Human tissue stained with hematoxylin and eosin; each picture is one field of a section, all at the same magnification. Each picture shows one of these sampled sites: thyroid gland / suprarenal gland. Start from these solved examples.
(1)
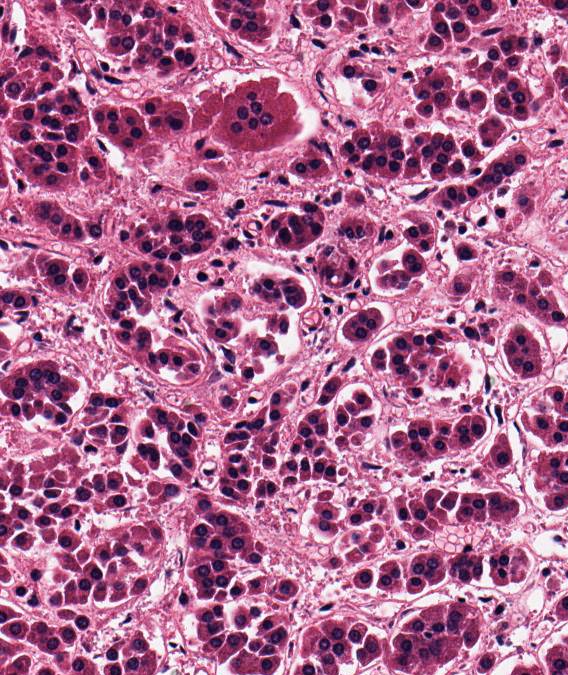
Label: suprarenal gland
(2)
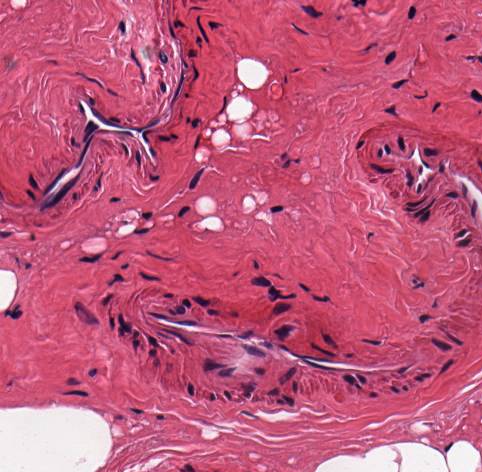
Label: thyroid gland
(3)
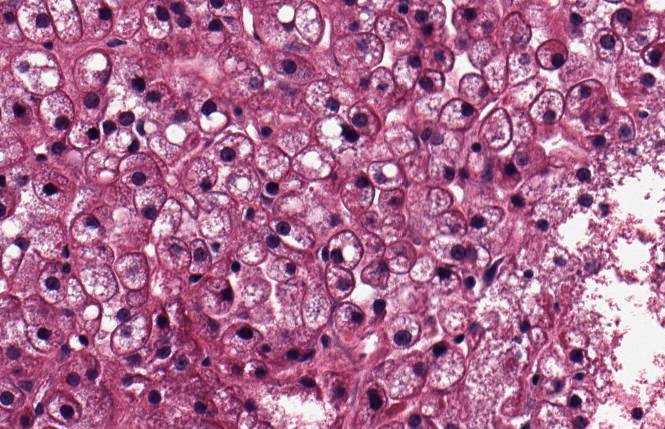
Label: suprarenal gland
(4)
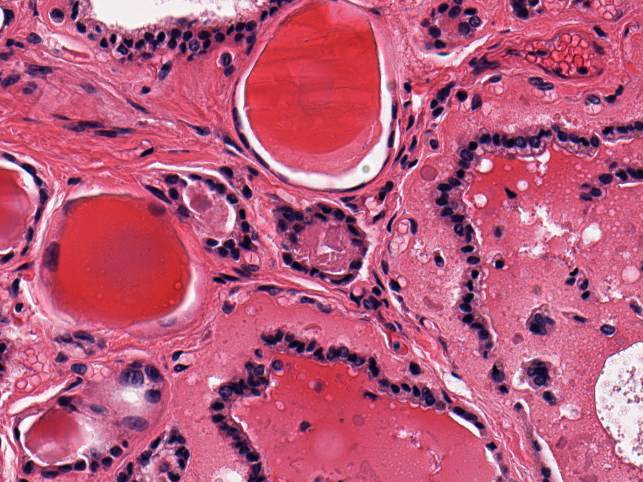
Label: thyroid gland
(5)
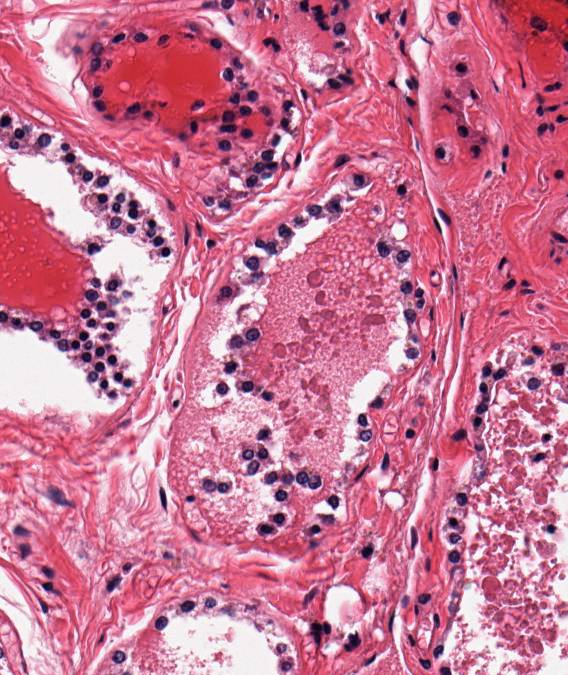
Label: thyroid gland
